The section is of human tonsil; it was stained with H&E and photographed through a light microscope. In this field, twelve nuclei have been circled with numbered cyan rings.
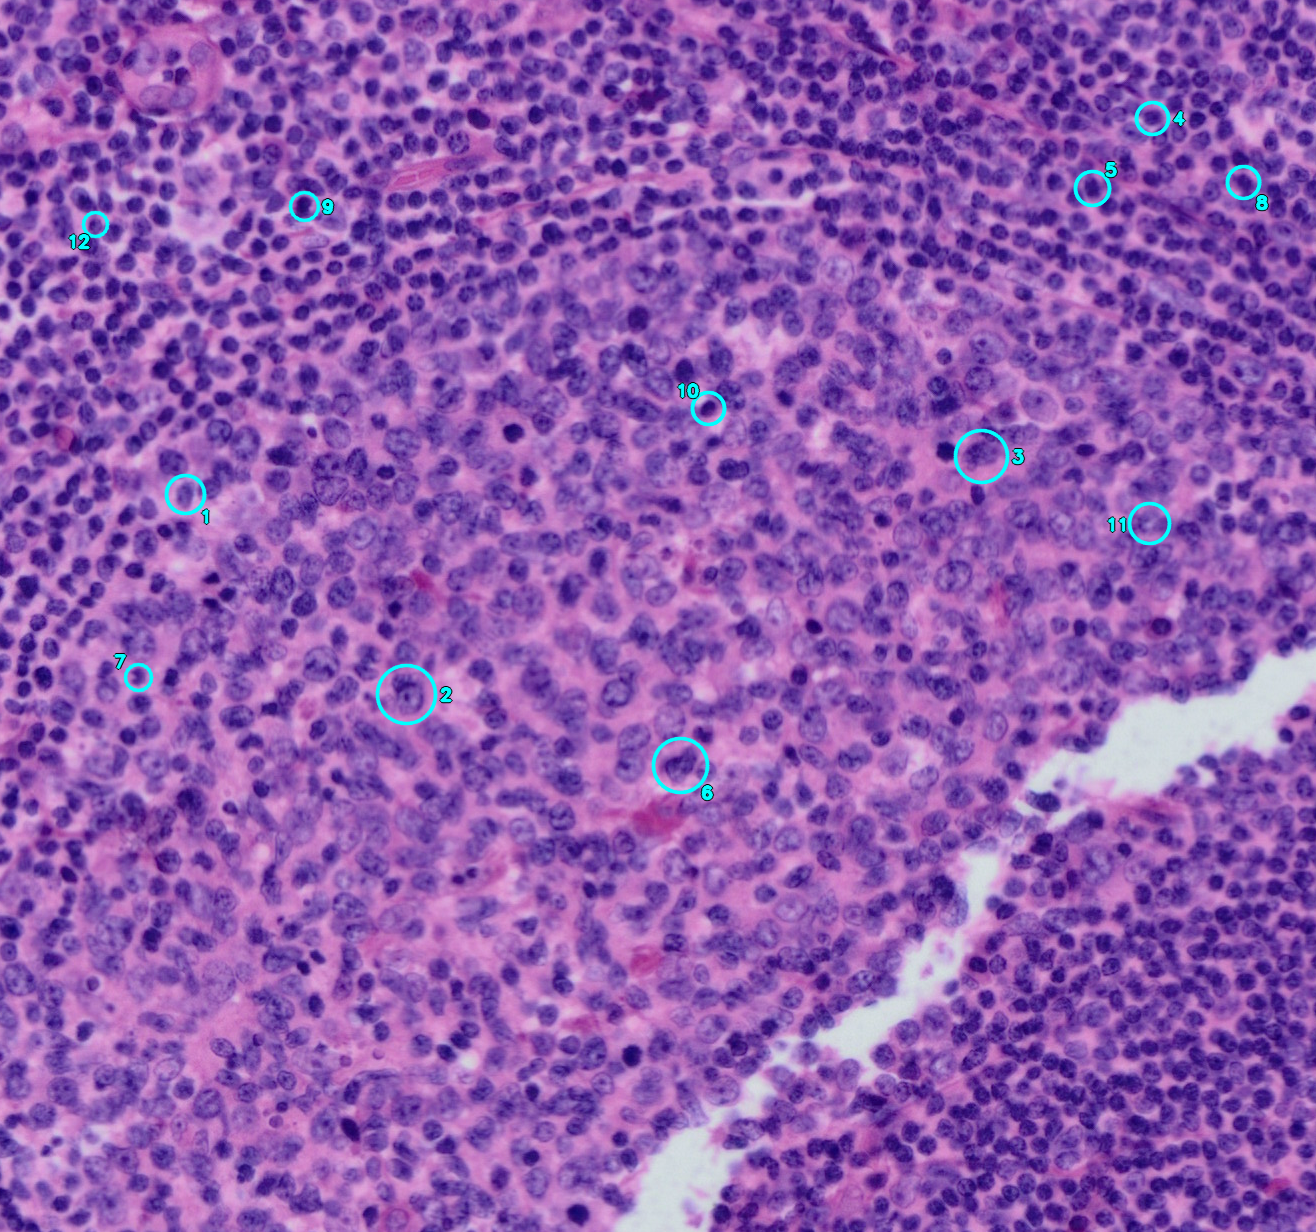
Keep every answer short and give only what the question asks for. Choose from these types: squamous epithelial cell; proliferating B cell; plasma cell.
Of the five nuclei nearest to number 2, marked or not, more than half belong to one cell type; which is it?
proliferating B cell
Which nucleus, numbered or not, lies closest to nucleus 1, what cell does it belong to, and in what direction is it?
a proliferating B cell; to the right of nucleus 1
